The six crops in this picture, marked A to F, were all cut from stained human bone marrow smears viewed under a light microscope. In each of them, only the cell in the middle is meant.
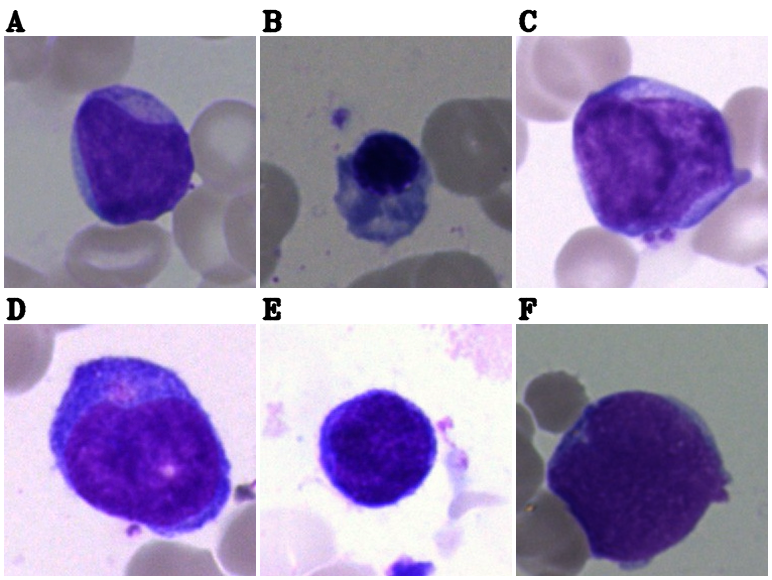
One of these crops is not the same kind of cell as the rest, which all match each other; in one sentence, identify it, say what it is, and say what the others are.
What sets crop B apart is that it shows a normoblast, while the others show blasts.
